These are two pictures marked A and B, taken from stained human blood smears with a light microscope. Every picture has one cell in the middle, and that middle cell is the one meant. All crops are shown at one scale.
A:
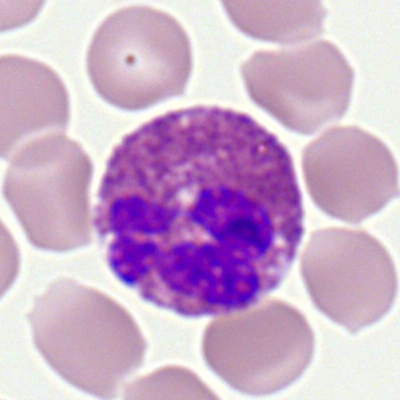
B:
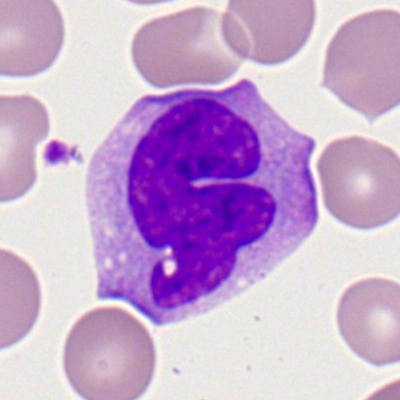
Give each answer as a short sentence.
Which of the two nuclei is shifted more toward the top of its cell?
Seen within its cell, the nucleus in crop B lies further toward the top.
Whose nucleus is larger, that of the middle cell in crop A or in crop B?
Larger is the nucleus in crop B, at roughly 2 times the area of the other.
